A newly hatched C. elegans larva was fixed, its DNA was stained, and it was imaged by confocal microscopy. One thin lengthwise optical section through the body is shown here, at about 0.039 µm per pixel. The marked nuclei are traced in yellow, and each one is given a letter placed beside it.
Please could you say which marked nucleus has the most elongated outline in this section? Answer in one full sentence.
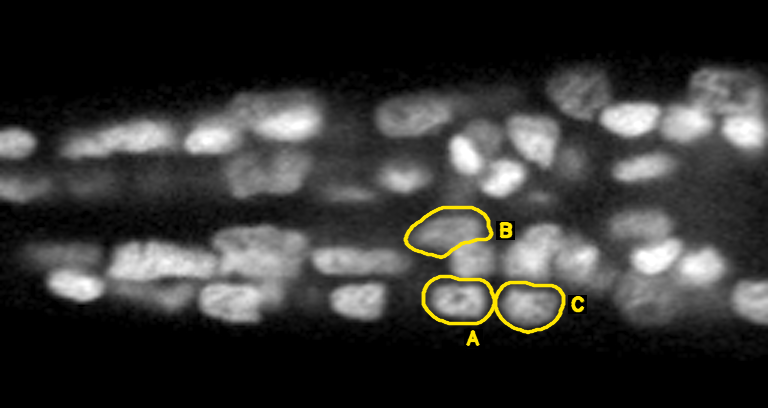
B is the most elongated in this section.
